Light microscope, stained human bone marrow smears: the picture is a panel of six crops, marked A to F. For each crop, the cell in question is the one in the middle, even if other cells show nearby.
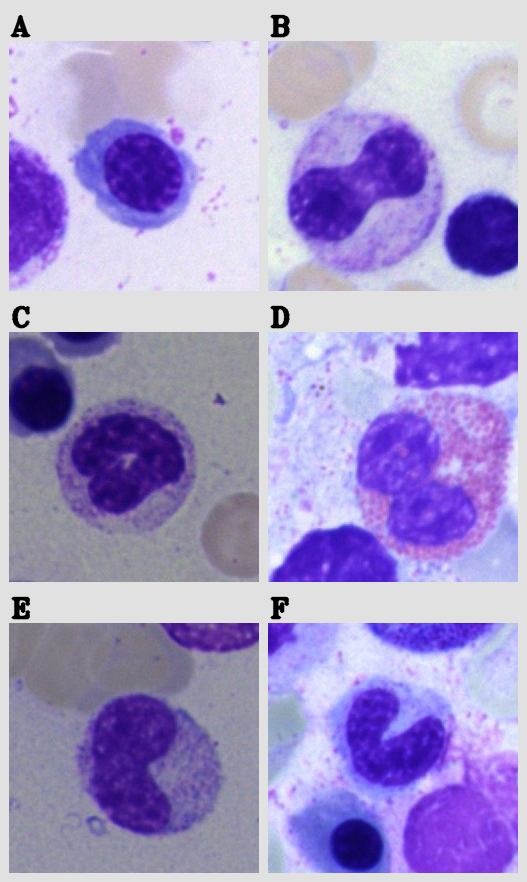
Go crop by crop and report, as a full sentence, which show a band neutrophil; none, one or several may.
With respect to crops B, C, E and F, the cells shown are band neutrophils.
